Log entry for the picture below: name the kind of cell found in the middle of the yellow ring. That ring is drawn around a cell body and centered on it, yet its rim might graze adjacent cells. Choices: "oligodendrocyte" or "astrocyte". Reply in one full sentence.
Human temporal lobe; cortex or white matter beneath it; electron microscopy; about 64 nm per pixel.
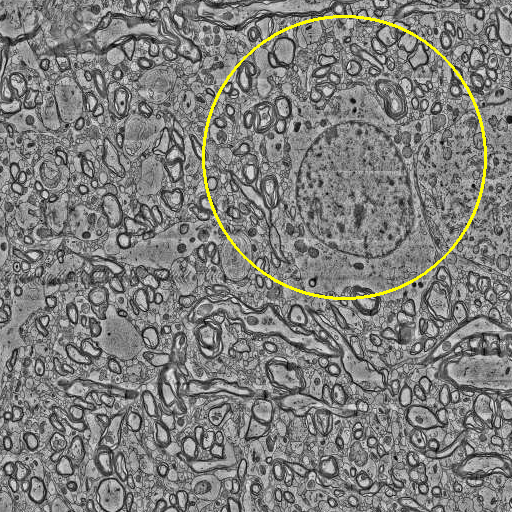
The cell in the middle of the yellow ring in this picture is an astrocyte.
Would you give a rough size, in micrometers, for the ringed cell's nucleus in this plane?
In this plane, the nucleus of the cell at the centre of the ring measures about 9 by 7 micrometres.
